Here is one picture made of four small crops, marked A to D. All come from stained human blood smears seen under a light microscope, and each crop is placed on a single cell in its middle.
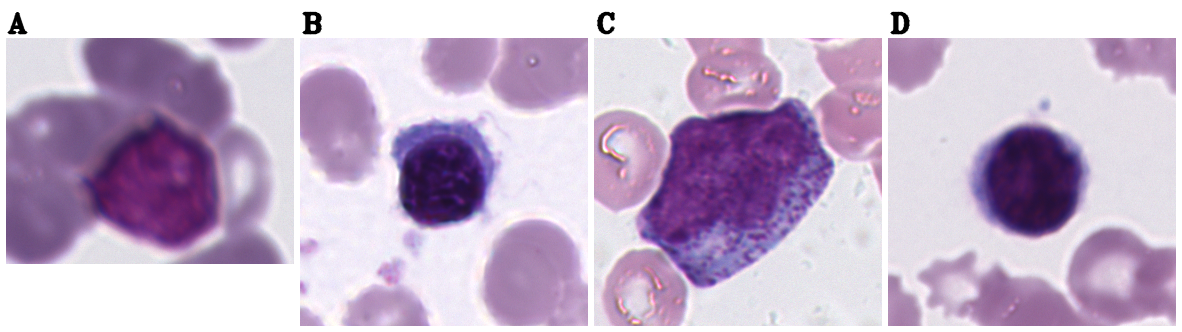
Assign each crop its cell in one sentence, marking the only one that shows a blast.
In crop A, the cell at the centre is a blast, while crop B is a plasma cell, crop C is a promyelocyte and crop D is a hairy cell.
